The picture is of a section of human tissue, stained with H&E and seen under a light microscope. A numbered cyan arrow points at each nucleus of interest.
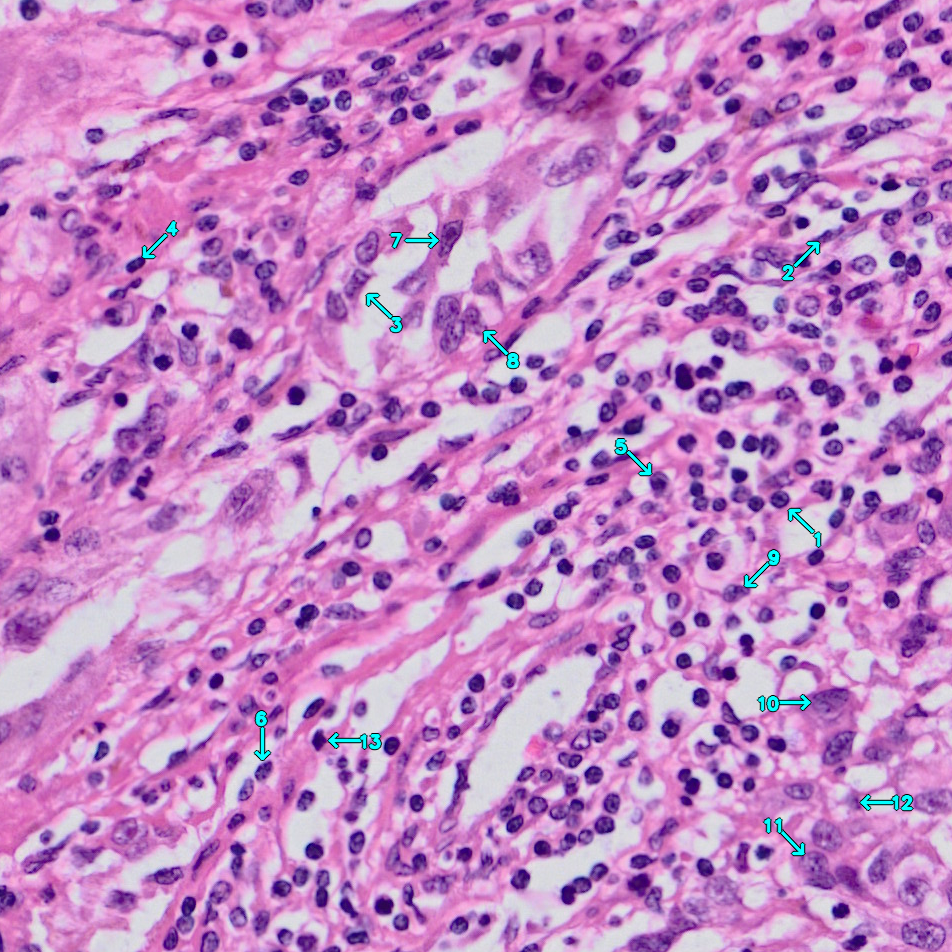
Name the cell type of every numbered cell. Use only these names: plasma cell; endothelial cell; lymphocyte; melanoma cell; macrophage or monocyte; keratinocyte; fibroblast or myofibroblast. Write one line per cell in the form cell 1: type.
cell 1: lymphocyte
cell 2: fibroblast or myofibroblast
cell 3: melanoma cell
cell 4: lymphocyte
cell 5: lymphocyte
cell 6: lymphocyte
cell 7: melanoma cell
cell 8: melanoma cell
cell 9: macrophage or monocyte
cell 10: melanoma cell
cell 11: melanoma cell
cell 12: melanoma cell
cell 13: lymphocyte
